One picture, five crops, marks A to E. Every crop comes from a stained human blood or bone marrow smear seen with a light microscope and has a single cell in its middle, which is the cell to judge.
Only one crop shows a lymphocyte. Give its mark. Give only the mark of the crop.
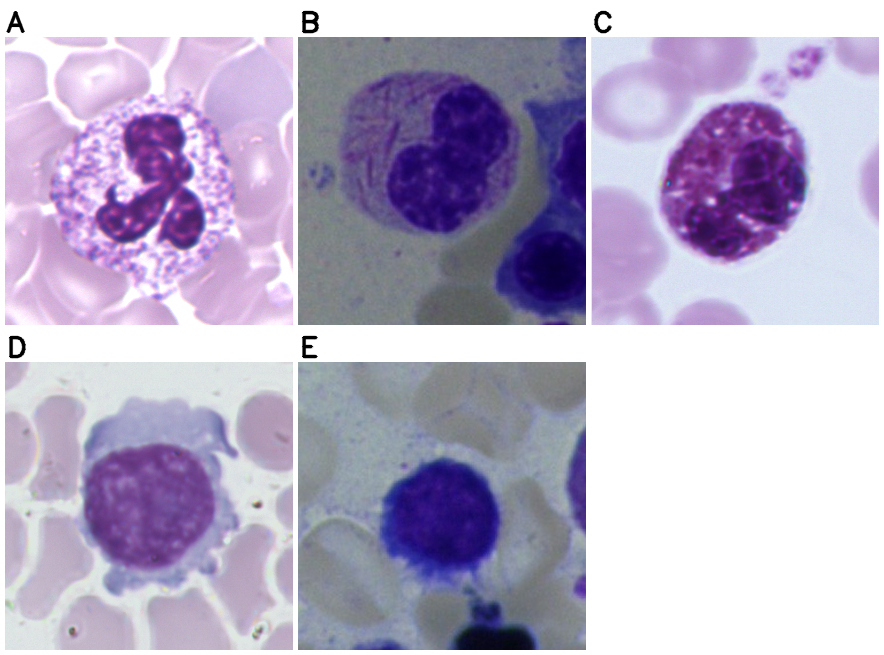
E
